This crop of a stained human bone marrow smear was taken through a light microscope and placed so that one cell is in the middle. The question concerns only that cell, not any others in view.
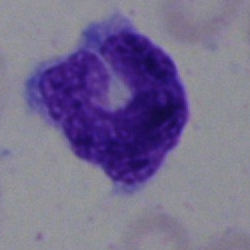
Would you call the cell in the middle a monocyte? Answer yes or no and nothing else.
yes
